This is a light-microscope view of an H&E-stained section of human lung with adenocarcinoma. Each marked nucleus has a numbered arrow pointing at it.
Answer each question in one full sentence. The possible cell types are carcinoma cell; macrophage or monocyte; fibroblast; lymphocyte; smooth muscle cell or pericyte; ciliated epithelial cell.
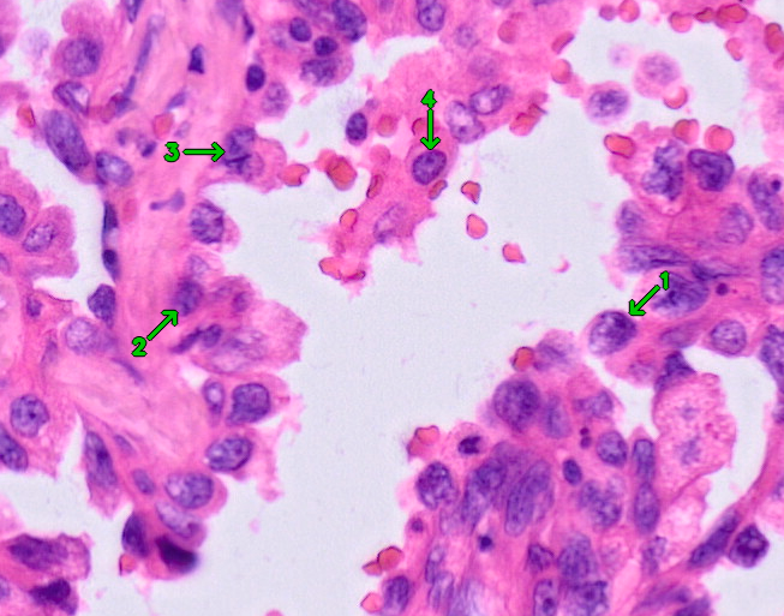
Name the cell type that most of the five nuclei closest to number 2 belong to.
Carcinoma cells make up most of the five nuclei closest to number 2.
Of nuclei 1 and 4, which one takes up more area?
Of the two, number 1 is bigger and takes up about 1.5 times the area of number 4.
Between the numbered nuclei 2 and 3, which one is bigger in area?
The larger nucleus is 3, at roughly 1.5 times the area of 2.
